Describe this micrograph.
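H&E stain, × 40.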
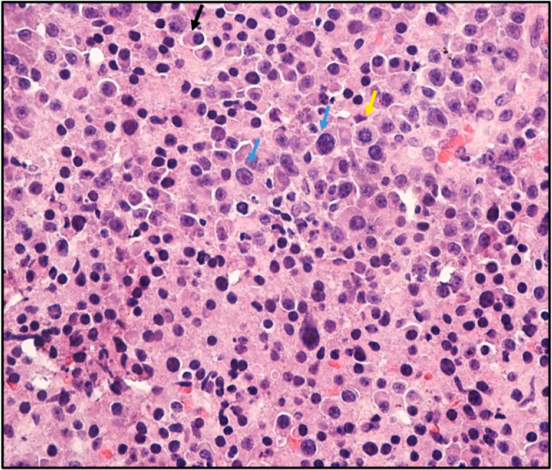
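A sheet of plasma cells, a mixture of mature and immature forms, fills the section with scant stroma and a few red blood cells between them. Many cells are small and round with dark, eccentrically placed nuclei and pink cytoplasm, while others are larger with big, paler nuclei, more nucleus relative to cytoplasm, and some nuclei are irregular or multiple. A few very large cells with dark, bizarre nuclei stand out among them.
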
